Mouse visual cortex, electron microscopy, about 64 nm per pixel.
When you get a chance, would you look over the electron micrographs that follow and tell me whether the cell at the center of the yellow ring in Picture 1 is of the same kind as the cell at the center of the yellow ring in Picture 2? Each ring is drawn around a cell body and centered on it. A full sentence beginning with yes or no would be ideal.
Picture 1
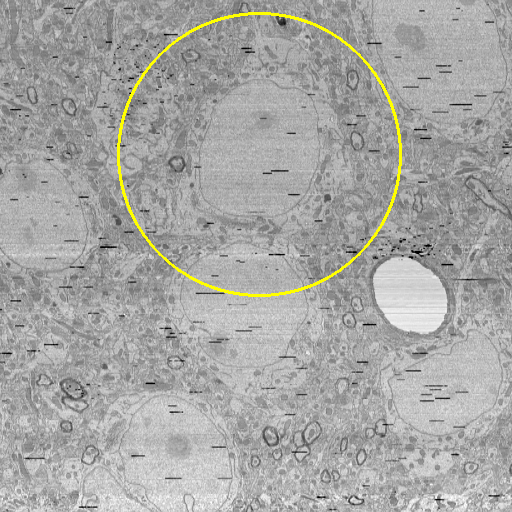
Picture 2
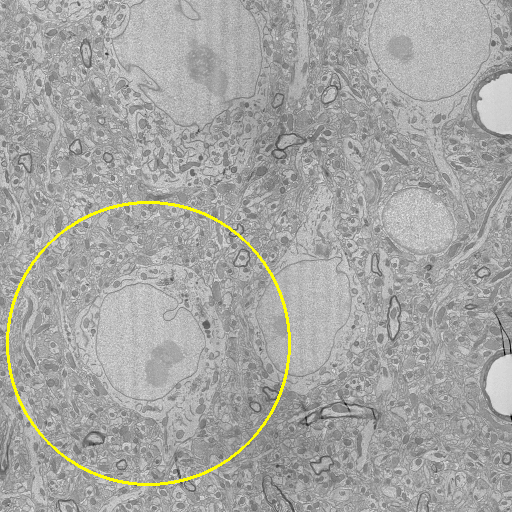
Yes, the two cells are of the same kind.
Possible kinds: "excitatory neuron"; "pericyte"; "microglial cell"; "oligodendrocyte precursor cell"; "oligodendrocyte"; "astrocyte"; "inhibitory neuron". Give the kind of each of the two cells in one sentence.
In each picture the ringed cell is an excitatory neuron.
